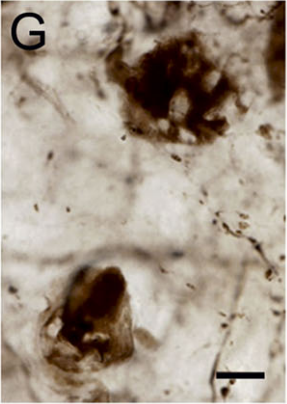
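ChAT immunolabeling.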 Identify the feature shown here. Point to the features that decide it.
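Irregular, ragged brown-stained clumps without clear cell outline. No distinct processes extend from the profiles. On this evidence: remnants of neuronal perikarya.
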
